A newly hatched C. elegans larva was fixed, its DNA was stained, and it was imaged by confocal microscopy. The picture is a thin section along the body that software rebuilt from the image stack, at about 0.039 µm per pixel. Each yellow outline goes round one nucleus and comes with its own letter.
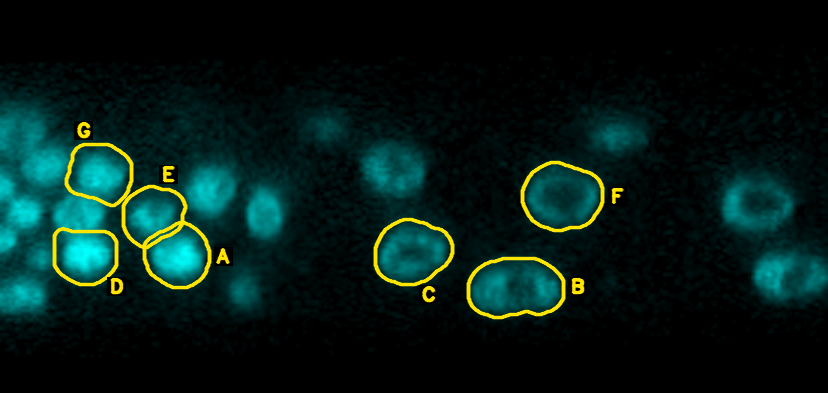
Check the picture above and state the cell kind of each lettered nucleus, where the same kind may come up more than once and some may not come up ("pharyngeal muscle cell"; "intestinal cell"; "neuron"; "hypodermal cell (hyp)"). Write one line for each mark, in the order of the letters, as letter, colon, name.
A: neuron
B: hypodermal cell (hyp)
C: intestinal cell
D: neuron
E: pharyngeal muscle cell
F: intestinal cell
G: neuron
